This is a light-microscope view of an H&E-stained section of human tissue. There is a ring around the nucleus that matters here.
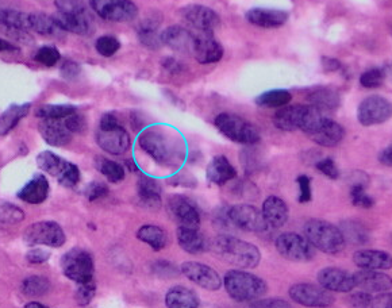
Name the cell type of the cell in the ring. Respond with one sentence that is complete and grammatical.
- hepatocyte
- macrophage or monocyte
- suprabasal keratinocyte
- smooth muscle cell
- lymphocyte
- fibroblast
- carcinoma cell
Placed in its cell category, the cell in the ring is a carcinoma cell.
